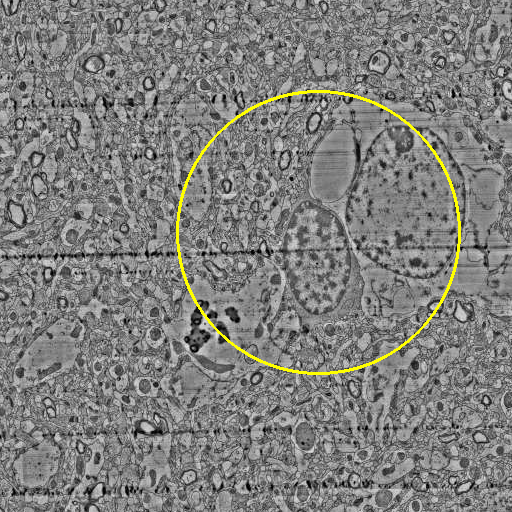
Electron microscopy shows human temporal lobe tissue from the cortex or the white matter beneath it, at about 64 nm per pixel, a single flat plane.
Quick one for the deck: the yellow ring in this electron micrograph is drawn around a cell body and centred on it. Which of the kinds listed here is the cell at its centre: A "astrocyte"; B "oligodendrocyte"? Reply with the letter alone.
B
